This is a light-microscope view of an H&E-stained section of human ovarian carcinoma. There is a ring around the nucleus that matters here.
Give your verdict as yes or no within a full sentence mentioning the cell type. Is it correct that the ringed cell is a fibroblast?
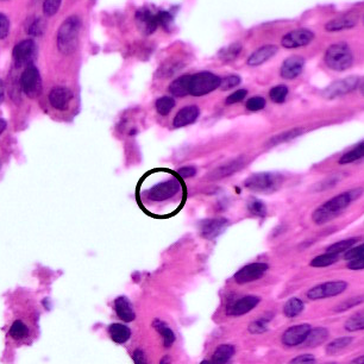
No, as a cell type, the ringed cell is a carcinoma cell rather than a fibroblast.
